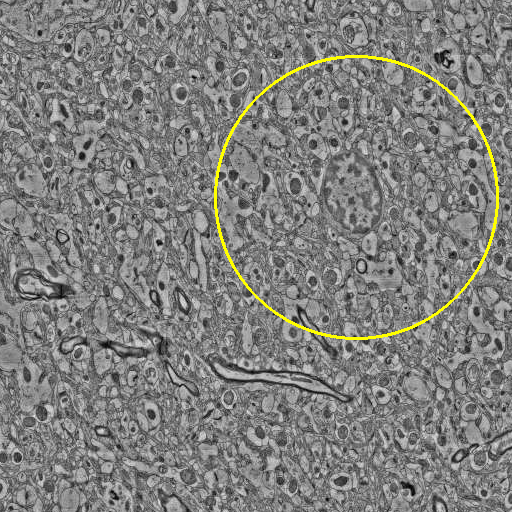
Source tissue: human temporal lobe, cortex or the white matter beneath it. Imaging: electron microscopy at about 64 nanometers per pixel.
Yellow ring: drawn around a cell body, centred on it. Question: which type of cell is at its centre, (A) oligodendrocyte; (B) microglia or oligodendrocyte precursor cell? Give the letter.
A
